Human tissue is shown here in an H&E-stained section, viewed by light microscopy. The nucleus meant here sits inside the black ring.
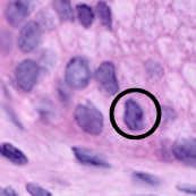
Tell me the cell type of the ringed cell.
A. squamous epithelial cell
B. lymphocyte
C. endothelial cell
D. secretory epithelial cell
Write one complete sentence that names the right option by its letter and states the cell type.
Identified correctly by option D, the ringed cell is a secretory epithelial cell.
